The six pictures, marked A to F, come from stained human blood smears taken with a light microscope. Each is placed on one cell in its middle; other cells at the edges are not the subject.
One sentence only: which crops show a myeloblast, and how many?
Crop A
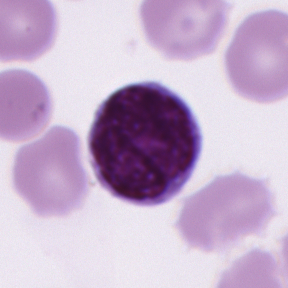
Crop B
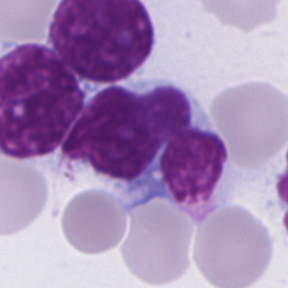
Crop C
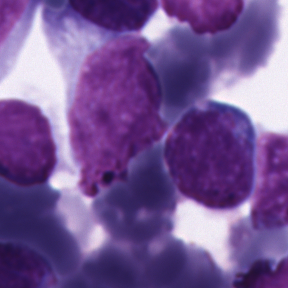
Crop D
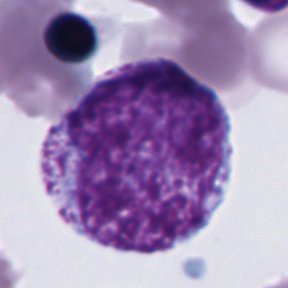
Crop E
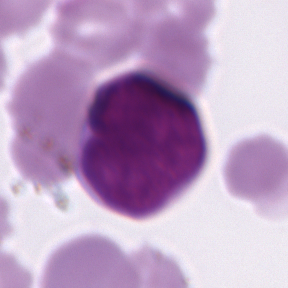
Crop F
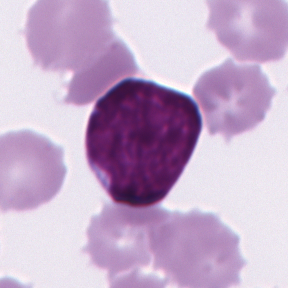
The myeloblasts are found in four crops, namely B, C, E and F.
